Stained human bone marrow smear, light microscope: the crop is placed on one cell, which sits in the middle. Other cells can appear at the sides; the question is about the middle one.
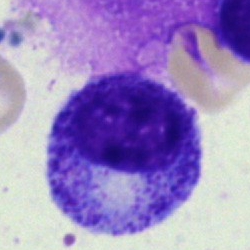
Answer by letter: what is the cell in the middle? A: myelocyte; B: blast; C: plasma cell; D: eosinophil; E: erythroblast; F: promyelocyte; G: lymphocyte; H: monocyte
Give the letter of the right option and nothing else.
F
